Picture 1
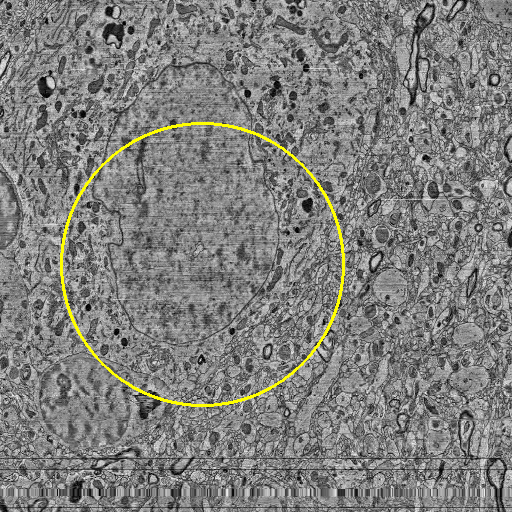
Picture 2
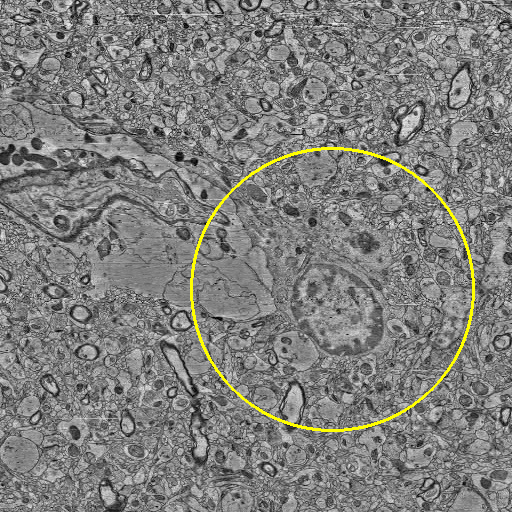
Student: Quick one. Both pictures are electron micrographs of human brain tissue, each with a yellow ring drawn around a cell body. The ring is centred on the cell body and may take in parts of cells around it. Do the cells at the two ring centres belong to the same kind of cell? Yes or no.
no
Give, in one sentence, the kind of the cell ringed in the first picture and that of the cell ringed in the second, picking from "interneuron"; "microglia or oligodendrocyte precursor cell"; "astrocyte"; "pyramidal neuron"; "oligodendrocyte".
For the first picture it is a pyramidal neuron; for the second, an oligodendrocyte.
